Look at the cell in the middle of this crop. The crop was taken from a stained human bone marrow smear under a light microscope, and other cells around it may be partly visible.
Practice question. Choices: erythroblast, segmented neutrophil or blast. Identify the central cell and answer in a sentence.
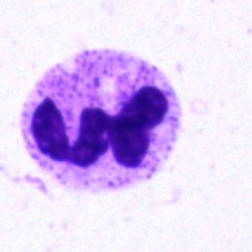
The middle of this crop is occupied by a segmented neutrophil.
